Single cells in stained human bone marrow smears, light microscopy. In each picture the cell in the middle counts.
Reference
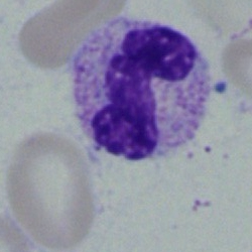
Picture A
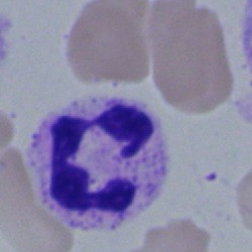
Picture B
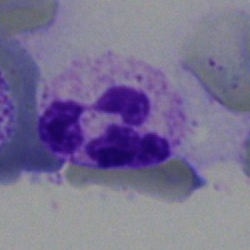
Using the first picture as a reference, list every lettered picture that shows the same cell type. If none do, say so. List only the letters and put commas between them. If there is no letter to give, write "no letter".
no letter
